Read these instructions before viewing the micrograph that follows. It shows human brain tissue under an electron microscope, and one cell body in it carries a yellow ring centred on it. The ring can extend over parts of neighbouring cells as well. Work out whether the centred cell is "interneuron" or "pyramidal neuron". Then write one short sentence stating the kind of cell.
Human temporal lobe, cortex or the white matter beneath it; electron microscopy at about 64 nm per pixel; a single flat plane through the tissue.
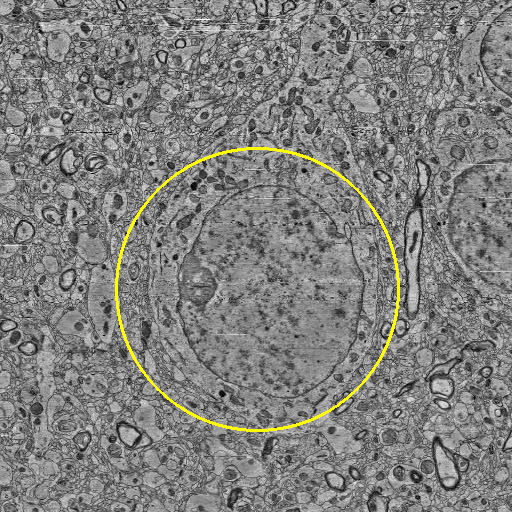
The ringed cell is an interneuron.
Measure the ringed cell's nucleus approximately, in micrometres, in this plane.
In this plane the nucleus measures roughly 14 by 12 micrometres.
